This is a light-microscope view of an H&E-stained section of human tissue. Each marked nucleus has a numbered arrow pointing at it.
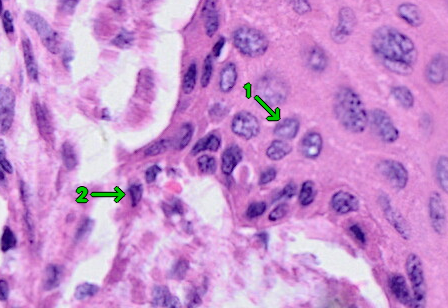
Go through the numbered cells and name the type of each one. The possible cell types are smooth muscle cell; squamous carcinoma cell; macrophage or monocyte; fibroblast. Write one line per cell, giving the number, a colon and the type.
1: squamous carcinoma cell
2: macrophage or monocyte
